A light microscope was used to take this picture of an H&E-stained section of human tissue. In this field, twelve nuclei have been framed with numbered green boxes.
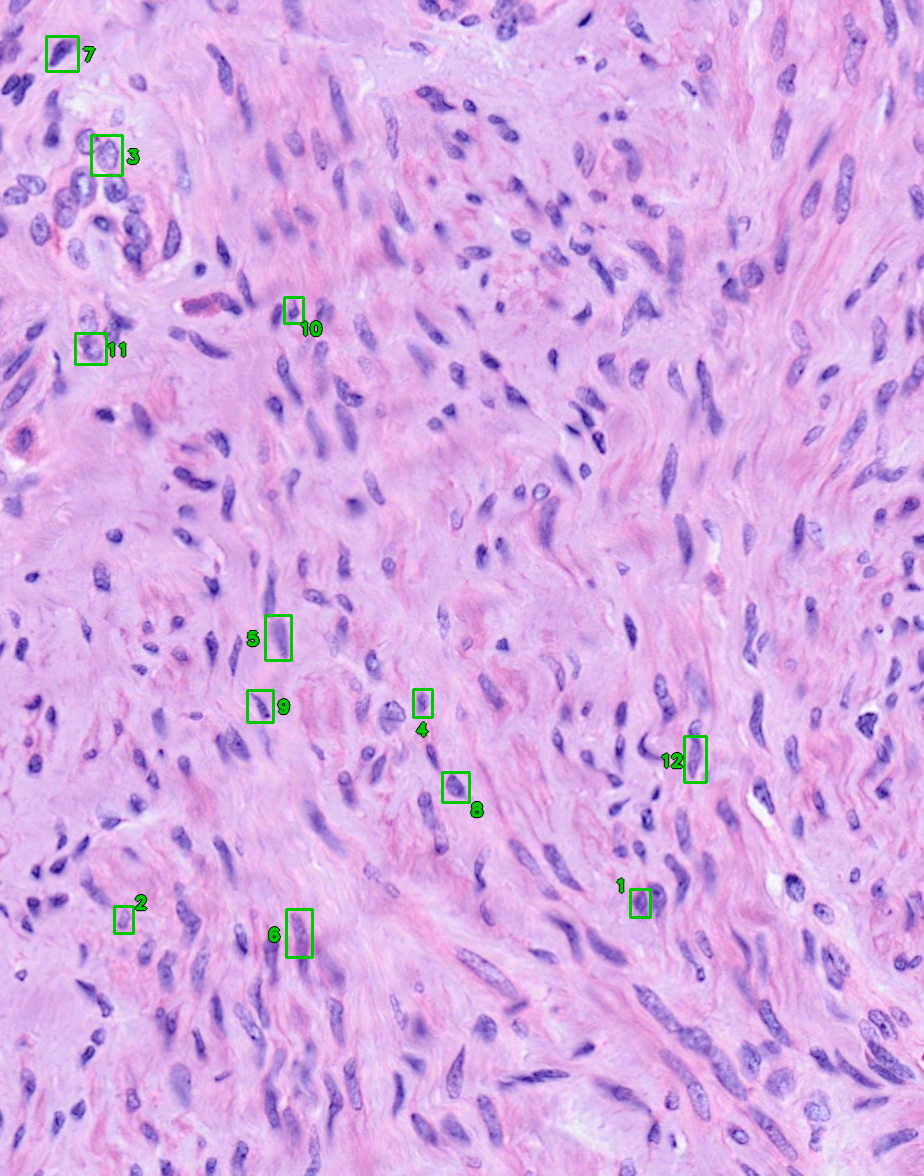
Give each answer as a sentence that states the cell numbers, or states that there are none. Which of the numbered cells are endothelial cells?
The cells tagged 3 and 11 are endothelial cells in this tissue section.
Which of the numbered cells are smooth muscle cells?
Cells 1, 2, 4, 6, 8, 10 and 12 are classified as smooth muscle cells.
